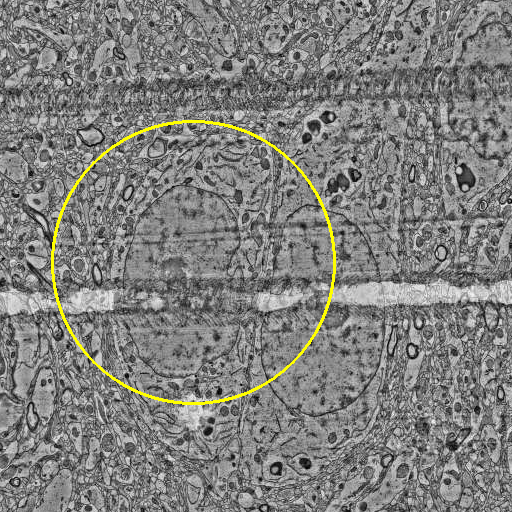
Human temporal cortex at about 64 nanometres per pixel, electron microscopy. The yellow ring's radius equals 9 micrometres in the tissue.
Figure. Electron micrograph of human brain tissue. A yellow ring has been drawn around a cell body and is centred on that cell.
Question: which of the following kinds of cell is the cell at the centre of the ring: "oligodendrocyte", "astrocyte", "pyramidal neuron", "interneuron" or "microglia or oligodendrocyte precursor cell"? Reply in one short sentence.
The cell at the centre of the ring is an interneuron.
